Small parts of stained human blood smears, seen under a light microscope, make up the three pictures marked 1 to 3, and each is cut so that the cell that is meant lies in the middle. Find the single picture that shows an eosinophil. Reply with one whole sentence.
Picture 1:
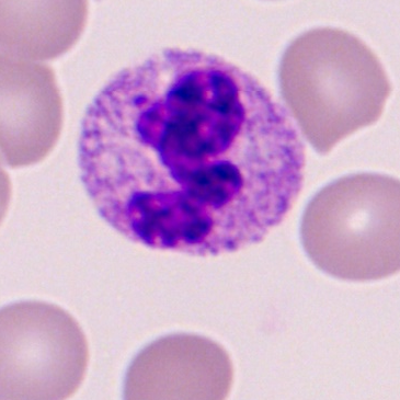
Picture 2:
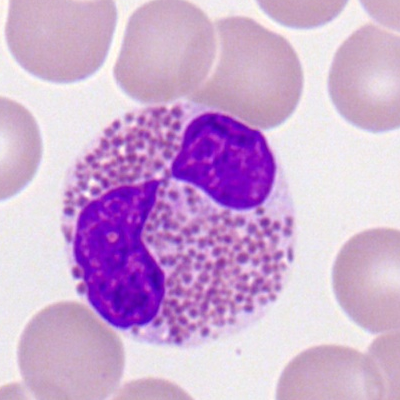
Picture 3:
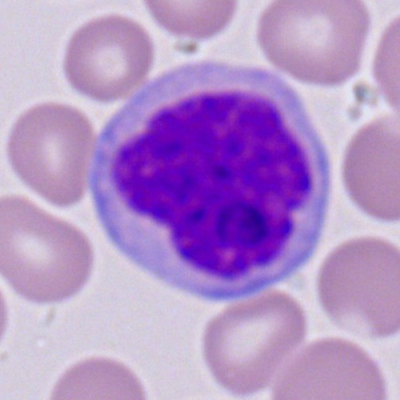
Picture 2 is the one that shows the eosinophil.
